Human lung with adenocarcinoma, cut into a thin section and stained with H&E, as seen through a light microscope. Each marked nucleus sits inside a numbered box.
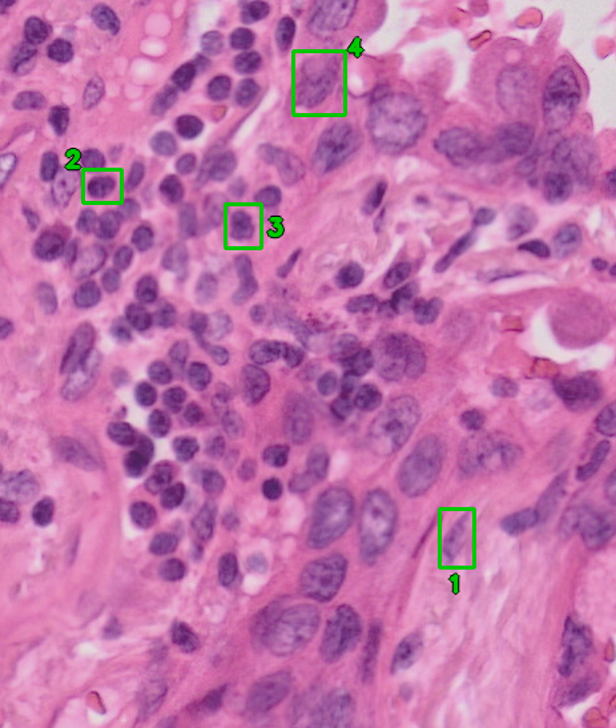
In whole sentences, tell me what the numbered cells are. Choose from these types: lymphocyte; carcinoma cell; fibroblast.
Cell 1 is a fibroblast. Cells 2 and 3 are lymphocytes. Cell 4 is a carcinoma cell.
